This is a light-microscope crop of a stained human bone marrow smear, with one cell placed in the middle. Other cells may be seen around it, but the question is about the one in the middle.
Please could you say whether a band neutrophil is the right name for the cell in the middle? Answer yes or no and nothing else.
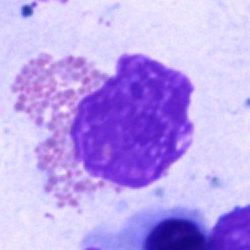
no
